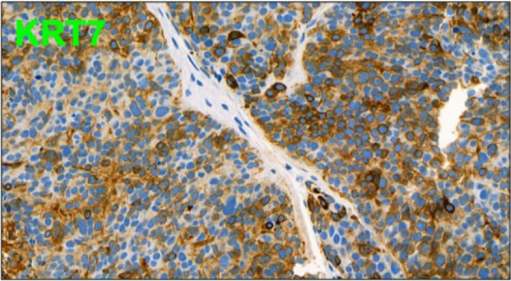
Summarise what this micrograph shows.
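The tumour cells are closely packed, with oval blue nuclei and scant cytoplasm. Their cytoplasm and cell borders are stained brown, strongly in many cells and with a ring-like outline in some, while the nuclei stay blue. The septum contains elongated spindle-shaped stromal cells that are not stained brown, and a small vessel-like space lies at the right.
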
